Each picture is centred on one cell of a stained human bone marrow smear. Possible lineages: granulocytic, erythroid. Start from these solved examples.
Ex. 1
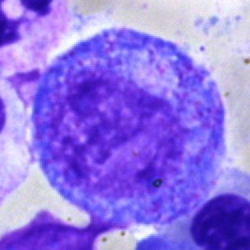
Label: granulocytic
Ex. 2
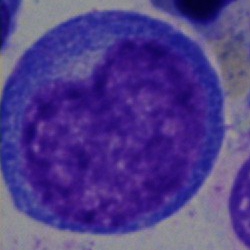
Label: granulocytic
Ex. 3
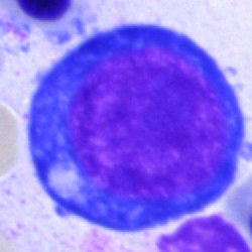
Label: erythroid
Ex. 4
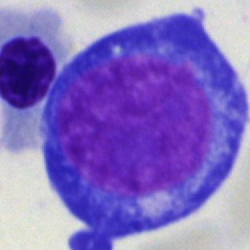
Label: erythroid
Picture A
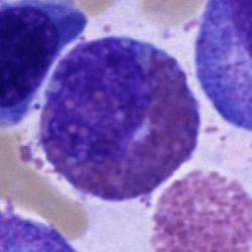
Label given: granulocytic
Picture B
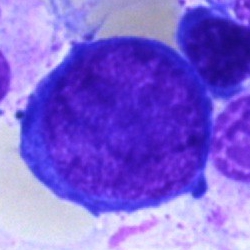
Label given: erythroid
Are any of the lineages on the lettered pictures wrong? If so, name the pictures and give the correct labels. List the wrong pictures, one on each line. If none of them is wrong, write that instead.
Nothing to fix; every label fits.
